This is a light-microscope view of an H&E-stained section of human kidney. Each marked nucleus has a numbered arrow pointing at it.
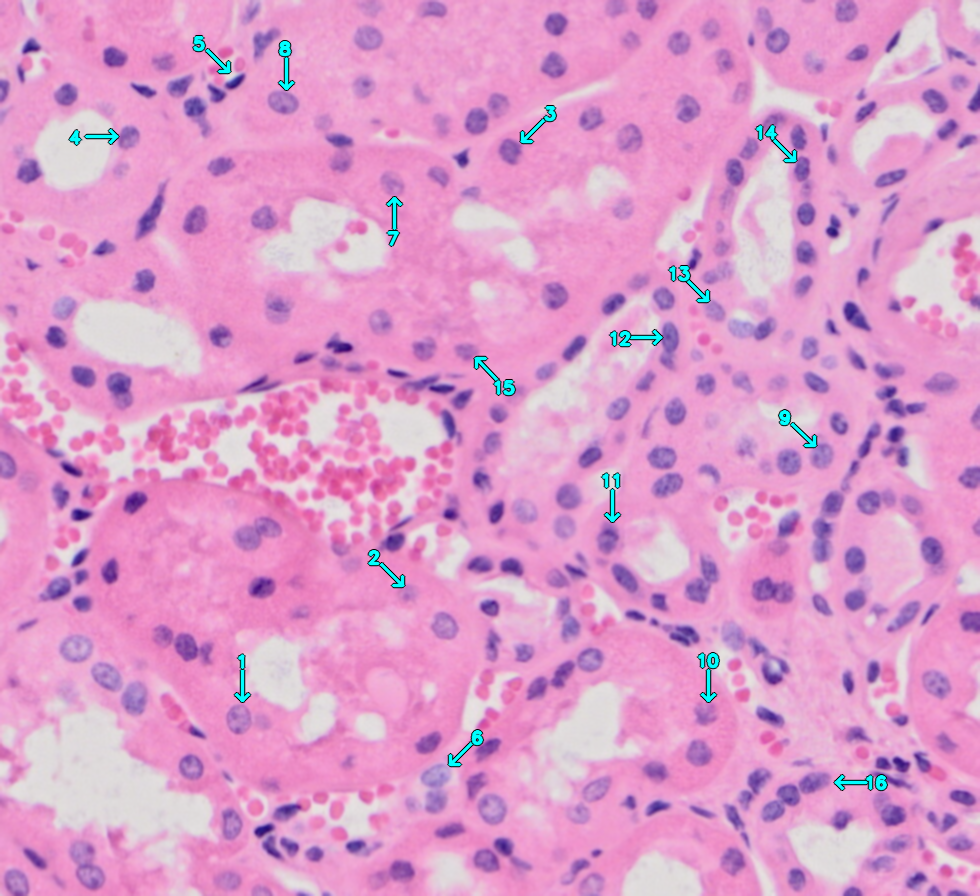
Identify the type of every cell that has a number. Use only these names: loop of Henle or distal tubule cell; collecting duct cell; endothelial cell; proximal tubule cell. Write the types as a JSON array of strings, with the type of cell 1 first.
["proximal tubule cell", "proximal tubule cell", "proximal tubule cell", "loop of Henle or distal tubule cell", "endothelial cell", "collecting duct cell", "proximal tubule cell", "proximal tubule cell", "collecting duct cell", "proximal tubule cell", "collecting duct cell", "collecting duct cell", "collecting duct cell", "collecting duct cell", "proximal tubule cell", "collecting duct cell"]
